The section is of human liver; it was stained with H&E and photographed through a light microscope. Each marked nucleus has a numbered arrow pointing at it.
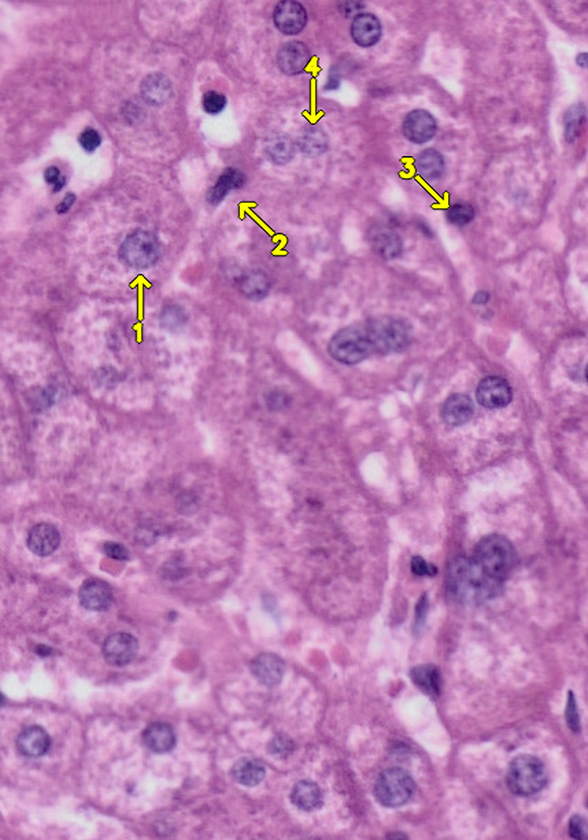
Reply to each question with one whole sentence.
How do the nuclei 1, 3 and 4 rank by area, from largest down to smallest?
By area, largest first, they run 1, 4, 3.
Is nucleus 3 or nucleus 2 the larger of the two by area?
Nucleus 2 covers more area, about 1.5 times as much as nucleus 3.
